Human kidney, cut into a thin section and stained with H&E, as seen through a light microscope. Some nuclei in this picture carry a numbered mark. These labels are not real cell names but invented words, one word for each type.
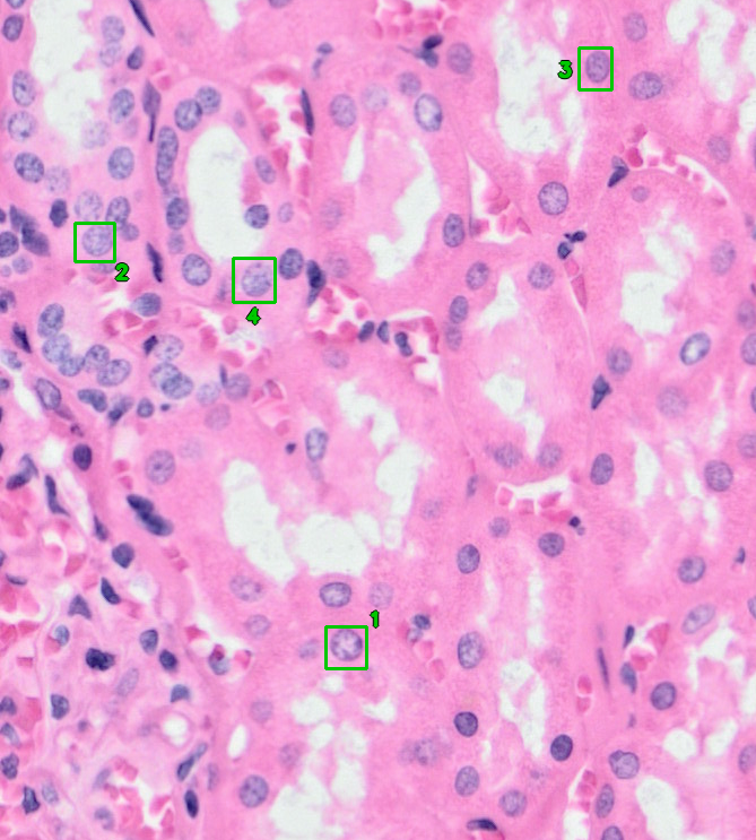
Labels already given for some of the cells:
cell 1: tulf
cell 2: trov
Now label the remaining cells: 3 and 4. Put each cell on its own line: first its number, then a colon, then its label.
3: tulf
4: trov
